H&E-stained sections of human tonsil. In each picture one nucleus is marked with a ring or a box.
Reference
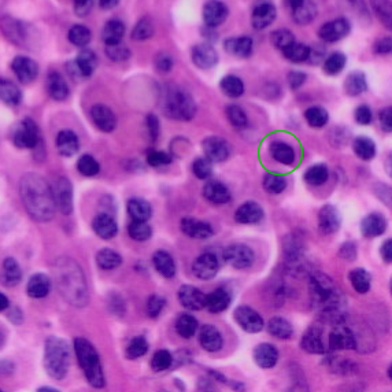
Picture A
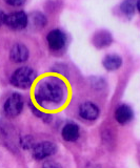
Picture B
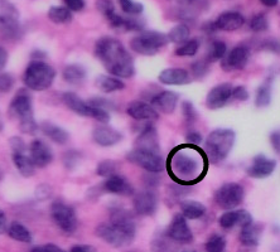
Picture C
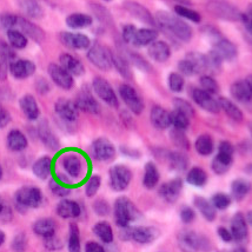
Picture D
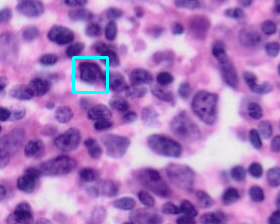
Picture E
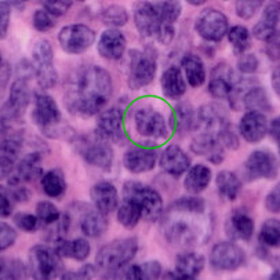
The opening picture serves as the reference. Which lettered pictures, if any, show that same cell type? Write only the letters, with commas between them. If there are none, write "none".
A, C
